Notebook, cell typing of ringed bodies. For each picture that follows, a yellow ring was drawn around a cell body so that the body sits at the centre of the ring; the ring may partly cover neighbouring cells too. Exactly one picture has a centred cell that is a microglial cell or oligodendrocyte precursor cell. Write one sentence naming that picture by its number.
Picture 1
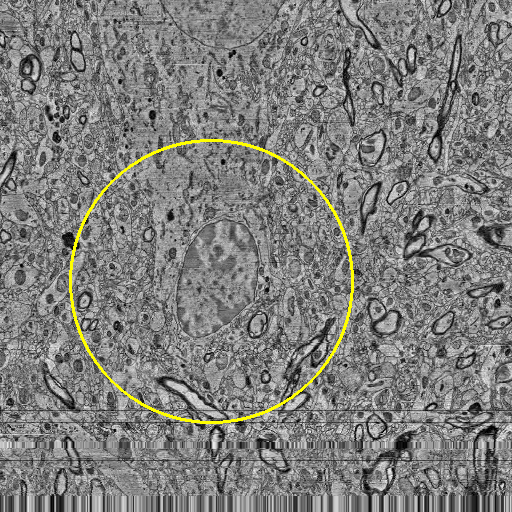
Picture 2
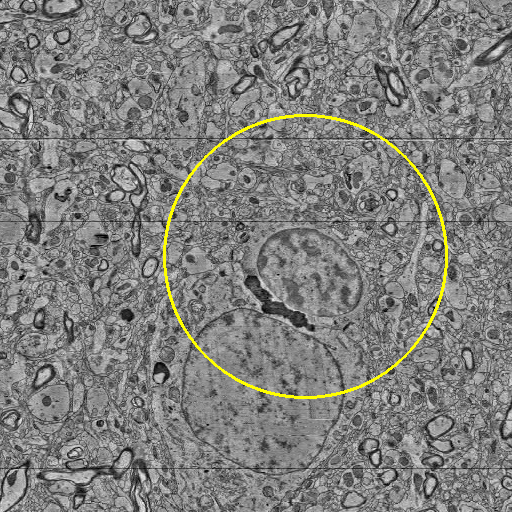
Picture 1 is the one with it at the centre of its ring.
